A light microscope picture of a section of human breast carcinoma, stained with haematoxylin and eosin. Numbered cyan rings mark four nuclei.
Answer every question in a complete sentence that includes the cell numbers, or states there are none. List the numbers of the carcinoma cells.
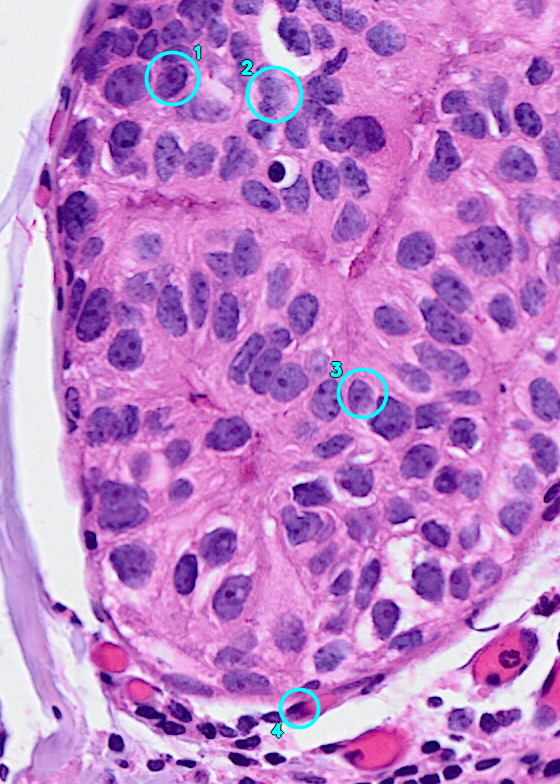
The cells the numbers 1, 2 and 3 point to are carcinoma cells.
